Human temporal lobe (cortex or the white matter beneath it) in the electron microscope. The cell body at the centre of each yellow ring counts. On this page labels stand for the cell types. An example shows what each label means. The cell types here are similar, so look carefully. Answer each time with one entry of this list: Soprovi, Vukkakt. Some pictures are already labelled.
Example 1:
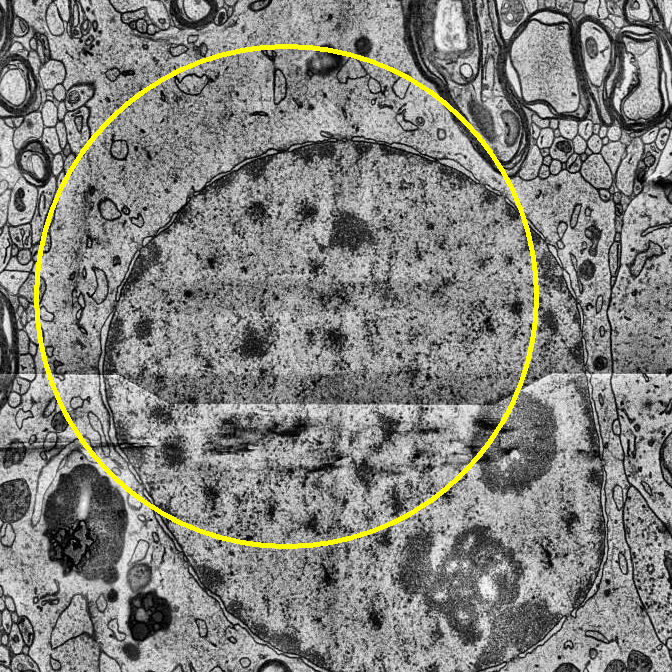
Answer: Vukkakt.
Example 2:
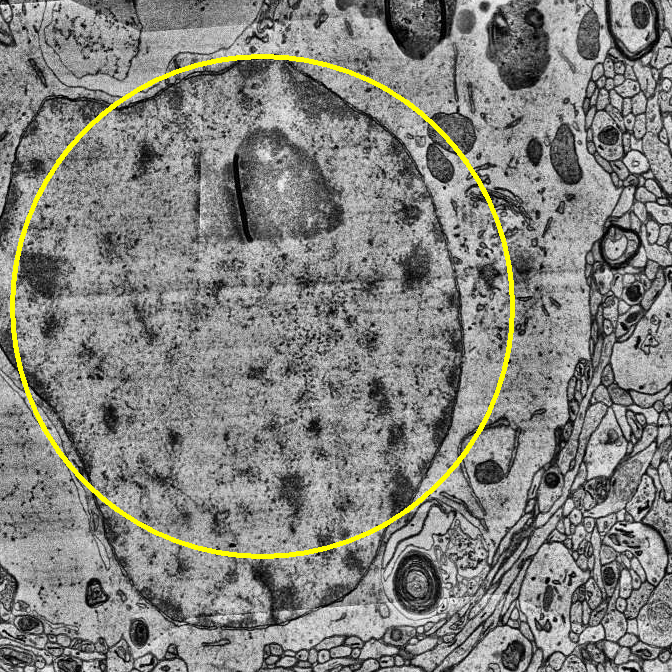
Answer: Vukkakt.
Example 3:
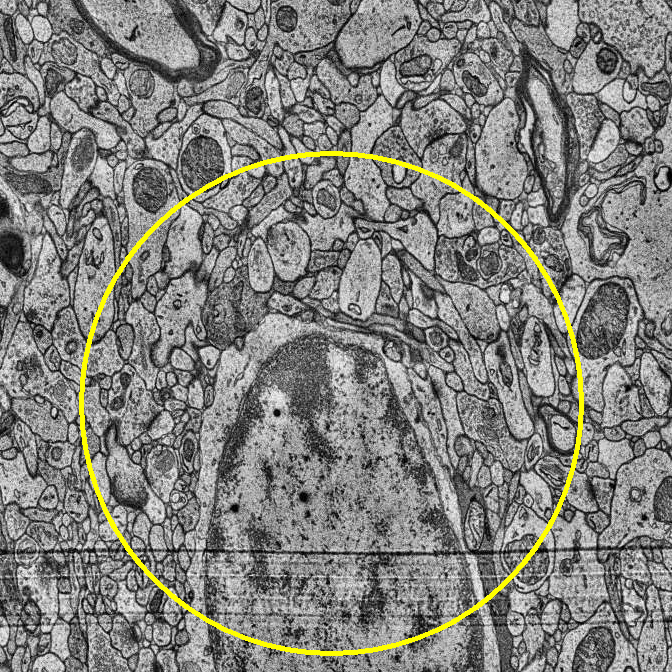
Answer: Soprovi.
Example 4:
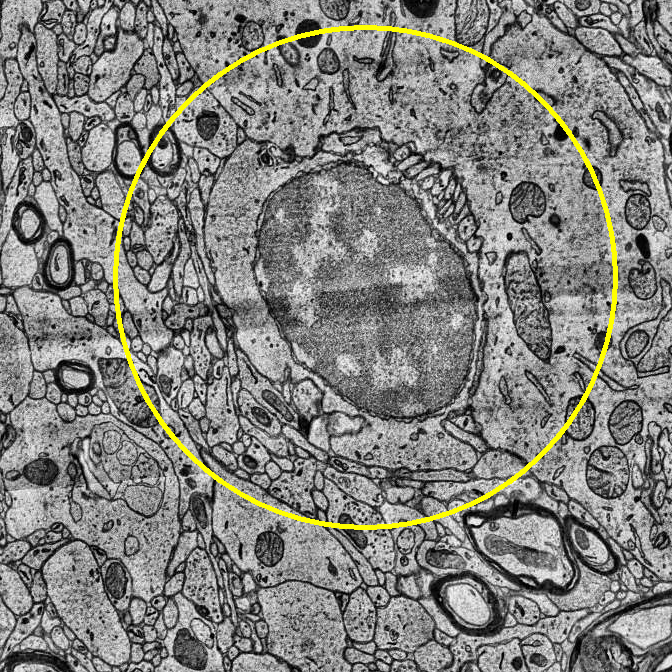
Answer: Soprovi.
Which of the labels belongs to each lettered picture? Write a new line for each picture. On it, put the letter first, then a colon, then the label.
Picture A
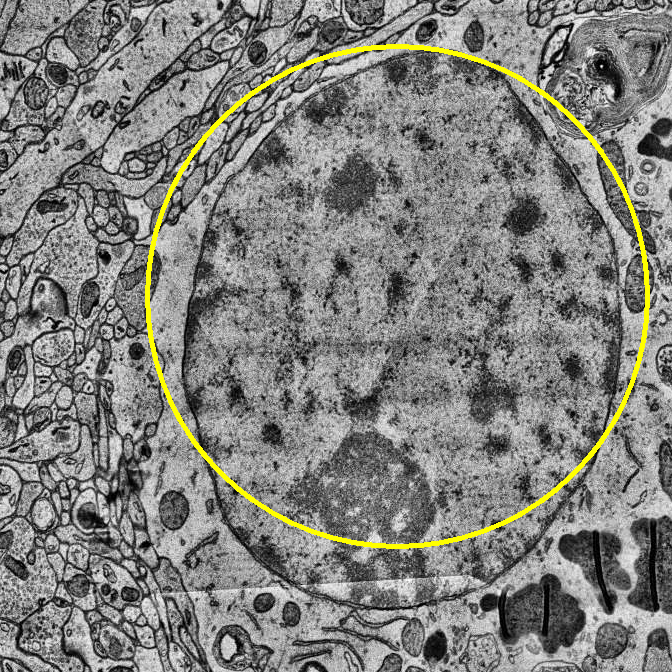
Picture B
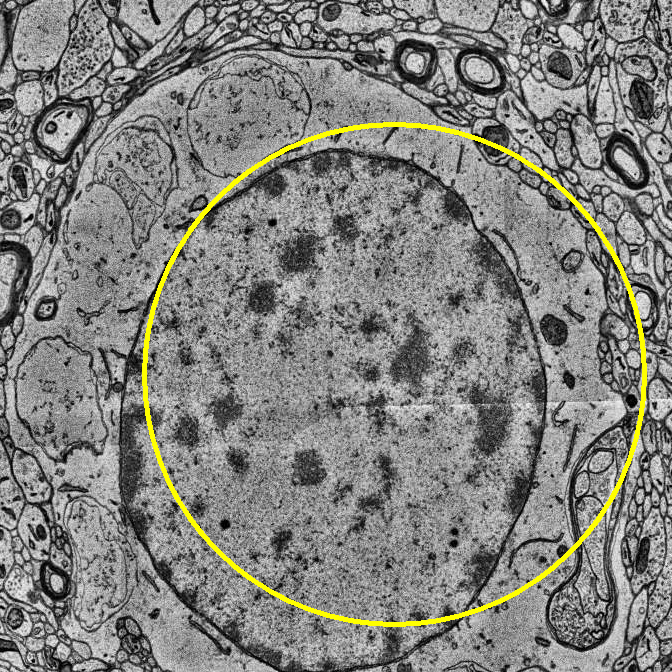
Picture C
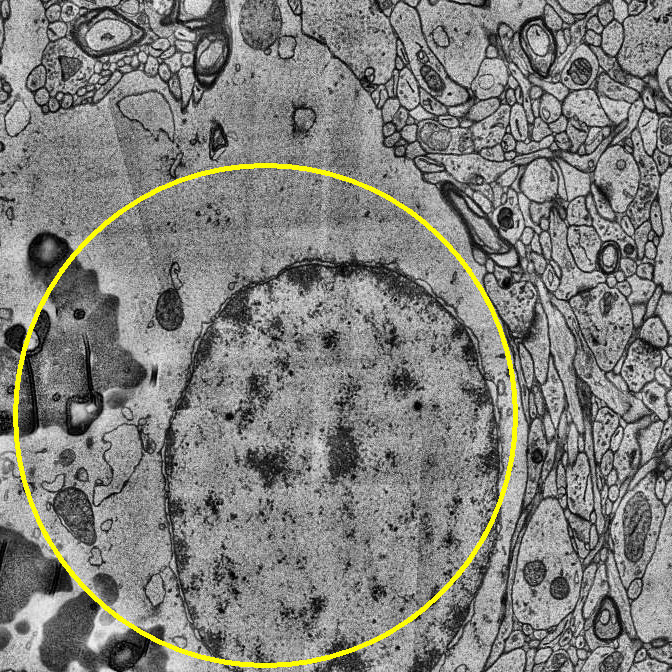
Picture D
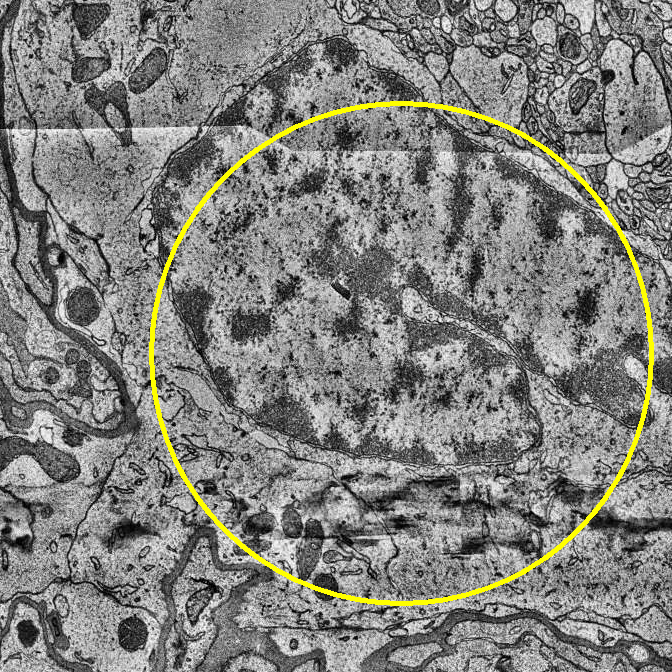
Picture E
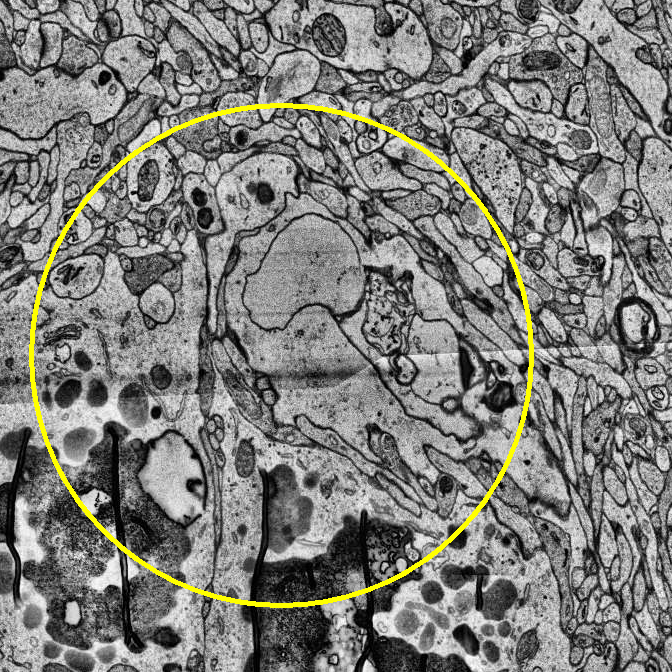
A: Vukkakt.
B: Vukkakt.
C: Vukkakt.
D: Soprovi.
E: Vukkakt.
